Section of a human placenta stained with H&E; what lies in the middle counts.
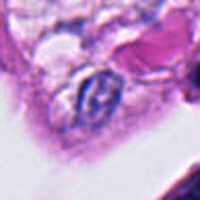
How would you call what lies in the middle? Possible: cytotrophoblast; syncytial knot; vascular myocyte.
I would call it a cytotrophoblast.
